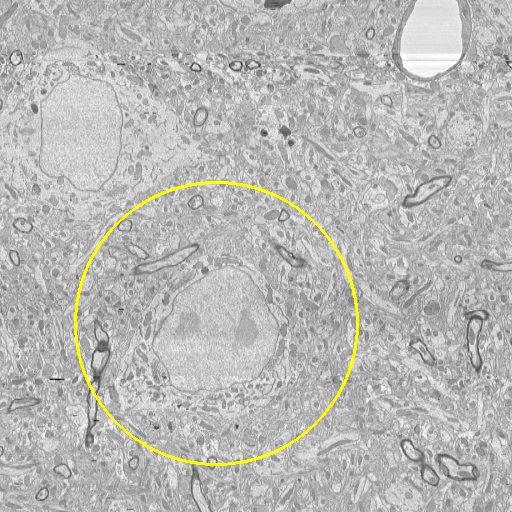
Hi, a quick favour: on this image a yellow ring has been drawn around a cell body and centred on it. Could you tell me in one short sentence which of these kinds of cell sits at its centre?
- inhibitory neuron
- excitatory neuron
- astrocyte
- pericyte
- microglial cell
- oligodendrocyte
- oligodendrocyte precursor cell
The ring is centred on an inhibitory neuron.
